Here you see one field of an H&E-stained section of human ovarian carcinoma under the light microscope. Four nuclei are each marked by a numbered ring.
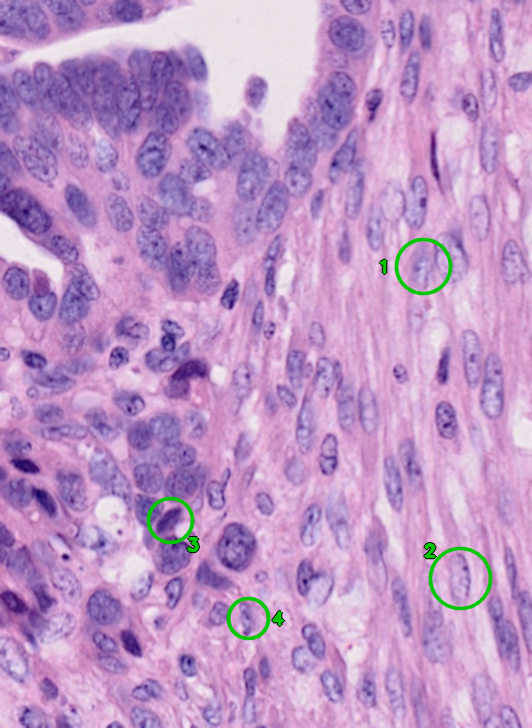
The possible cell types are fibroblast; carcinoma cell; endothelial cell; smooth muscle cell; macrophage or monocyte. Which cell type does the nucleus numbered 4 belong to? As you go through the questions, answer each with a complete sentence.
Denoted by the label 4 in the section is a fibroblast.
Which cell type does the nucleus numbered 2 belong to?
The correct answer for cell 2 is a fibroblast.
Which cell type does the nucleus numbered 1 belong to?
The cell numbered 1 has been identified as a fibroblast.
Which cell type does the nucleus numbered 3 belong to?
The correct answer for cell 3 is a carcinoma cell.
